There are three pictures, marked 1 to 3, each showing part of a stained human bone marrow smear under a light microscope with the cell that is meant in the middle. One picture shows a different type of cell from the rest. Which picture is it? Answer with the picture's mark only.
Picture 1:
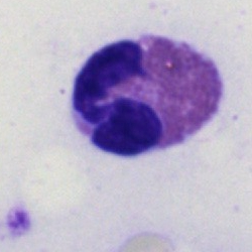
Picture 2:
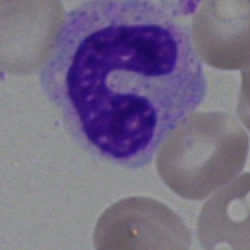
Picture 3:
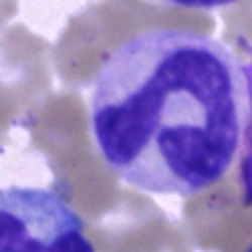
1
